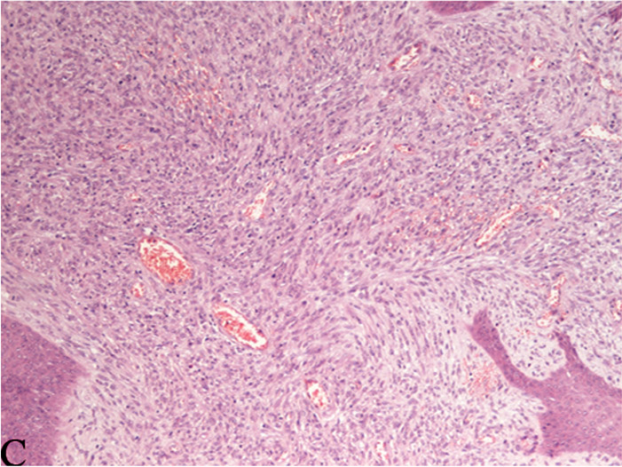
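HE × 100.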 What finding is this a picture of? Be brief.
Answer: Fascicular and storiform pattern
